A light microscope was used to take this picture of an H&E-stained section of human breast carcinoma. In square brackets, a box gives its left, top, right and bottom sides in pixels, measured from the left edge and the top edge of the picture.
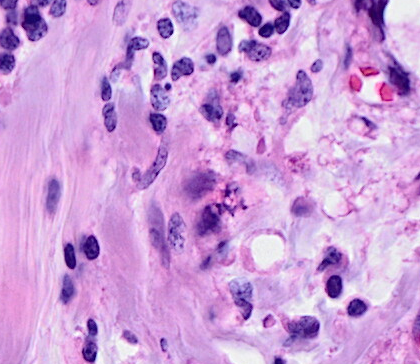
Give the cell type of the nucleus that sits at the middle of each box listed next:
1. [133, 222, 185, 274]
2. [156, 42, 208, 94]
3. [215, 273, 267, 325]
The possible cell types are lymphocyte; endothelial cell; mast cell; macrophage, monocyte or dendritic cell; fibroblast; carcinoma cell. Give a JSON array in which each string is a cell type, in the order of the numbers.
["fibroblast", "lymphocyte", "fibroblast"]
